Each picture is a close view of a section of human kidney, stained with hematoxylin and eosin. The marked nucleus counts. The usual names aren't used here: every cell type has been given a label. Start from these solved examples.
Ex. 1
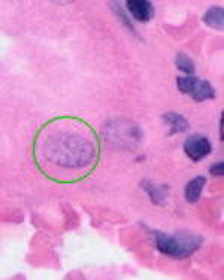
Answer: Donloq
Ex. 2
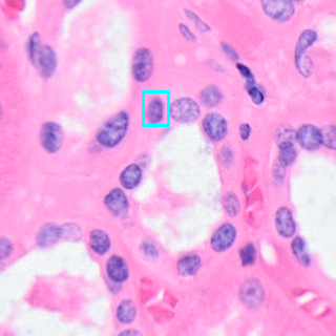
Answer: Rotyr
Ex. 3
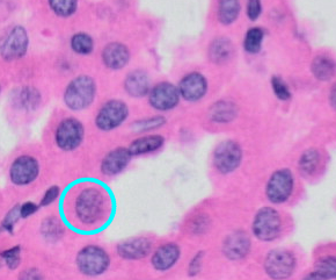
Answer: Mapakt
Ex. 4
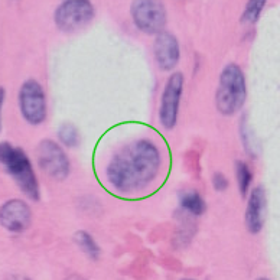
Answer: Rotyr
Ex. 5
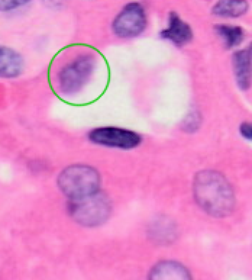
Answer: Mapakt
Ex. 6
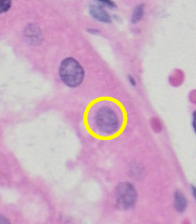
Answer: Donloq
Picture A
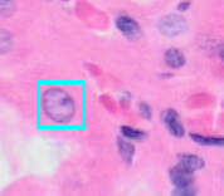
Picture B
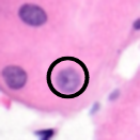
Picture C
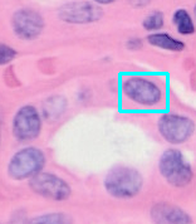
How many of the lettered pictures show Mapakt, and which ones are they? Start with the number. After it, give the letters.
0, none of them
